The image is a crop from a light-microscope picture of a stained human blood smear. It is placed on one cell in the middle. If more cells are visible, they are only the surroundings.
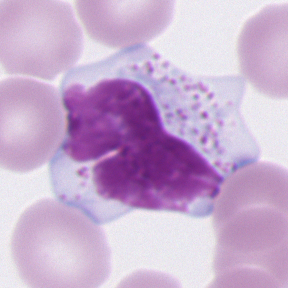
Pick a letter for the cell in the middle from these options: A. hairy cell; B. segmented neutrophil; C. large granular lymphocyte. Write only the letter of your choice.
C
